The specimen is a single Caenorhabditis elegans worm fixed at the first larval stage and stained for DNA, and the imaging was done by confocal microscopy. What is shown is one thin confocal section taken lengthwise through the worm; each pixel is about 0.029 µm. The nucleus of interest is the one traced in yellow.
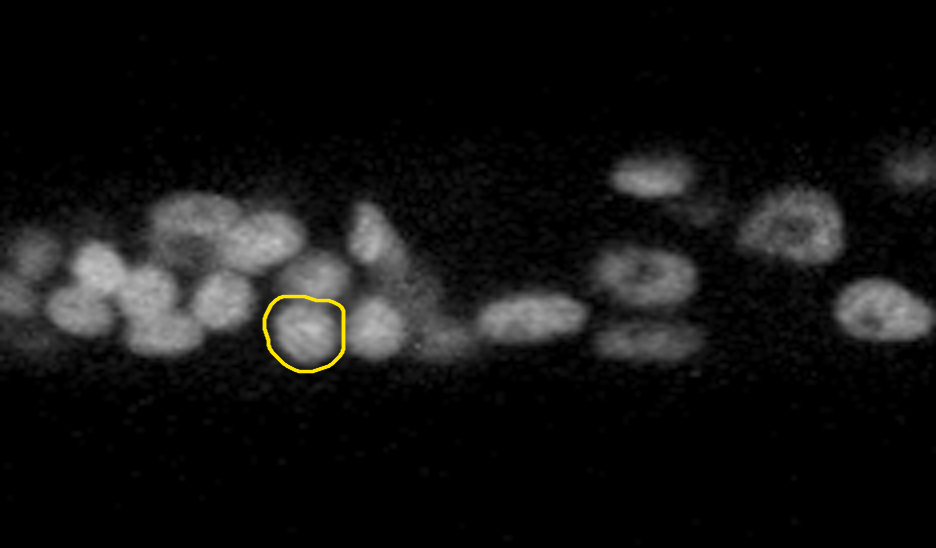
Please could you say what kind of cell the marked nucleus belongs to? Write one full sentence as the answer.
What is marked is the nucleus of a neuron.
